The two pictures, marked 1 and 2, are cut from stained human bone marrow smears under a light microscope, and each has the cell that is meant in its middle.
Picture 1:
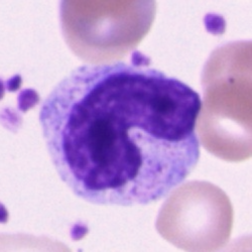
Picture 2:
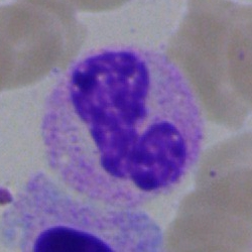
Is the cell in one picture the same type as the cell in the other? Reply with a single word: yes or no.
yes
